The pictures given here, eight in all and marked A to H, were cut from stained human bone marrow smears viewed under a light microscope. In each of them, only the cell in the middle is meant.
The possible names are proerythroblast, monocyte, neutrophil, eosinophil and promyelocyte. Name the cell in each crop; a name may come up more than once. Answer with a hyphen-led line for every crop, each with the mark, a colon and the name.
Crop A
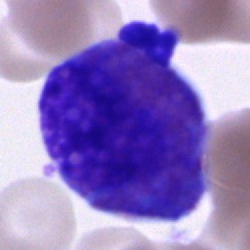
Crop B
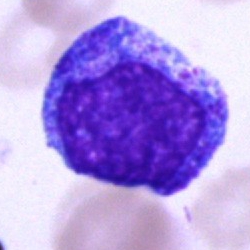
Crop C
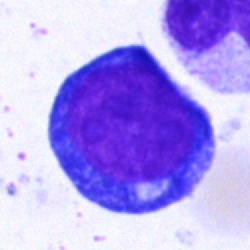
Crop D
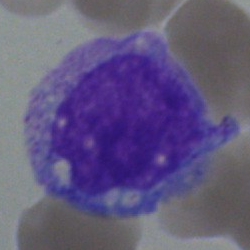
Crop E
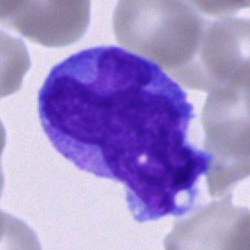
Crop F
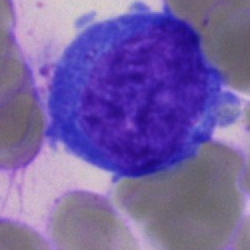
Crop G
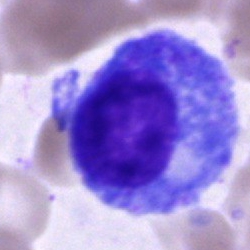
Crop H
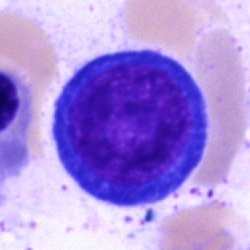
- A: eosinophil
- B: promyelocyte
- C: proerythroblast
- D: monocyte
- E: monocyte
- F: proerythroblast
- G: promyelocyte
- H: proerythroblast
